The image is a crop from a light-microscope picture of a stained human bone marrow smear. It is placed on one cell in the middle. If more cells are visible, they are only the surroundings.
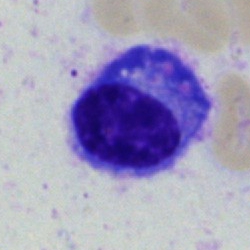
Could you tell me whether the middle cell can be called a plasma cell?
yes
